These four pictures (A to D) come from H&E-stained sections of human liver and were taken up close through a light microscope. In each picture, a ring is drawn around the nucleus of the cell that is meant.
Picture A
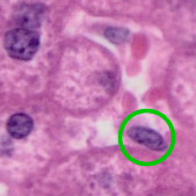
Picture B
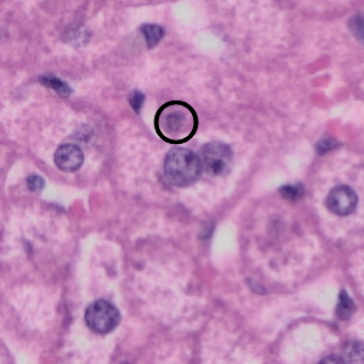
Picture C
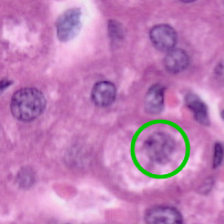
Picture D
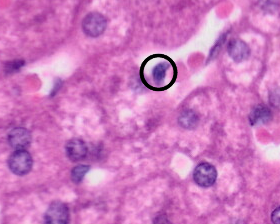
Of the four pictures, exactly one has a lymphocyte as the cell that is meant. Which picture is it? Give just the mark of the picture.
D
